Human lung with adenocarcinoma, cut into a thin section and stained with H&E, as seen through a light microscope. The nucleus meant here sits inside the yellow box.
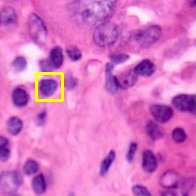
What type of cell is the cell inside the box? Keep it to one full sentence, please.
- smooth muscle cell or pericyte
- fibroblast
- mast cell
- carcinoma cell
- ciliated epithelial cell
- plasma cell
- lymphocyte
Histopathologically, the cell inside the box is a lymphocyte.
